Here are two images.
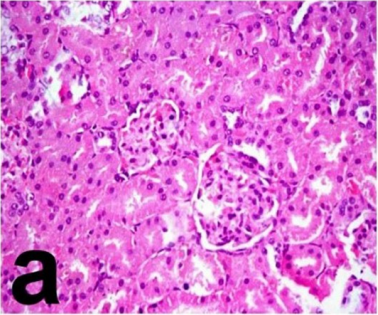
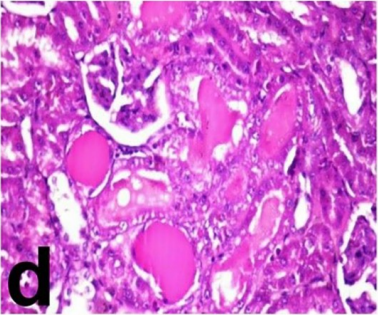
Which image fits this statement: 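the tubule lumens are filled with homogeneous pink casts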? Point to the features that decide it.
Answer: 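Second image: several tubules are plugged by smooth, bright pink masses. First image: tubule lumens are narrow and free of such material.
The second image.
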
